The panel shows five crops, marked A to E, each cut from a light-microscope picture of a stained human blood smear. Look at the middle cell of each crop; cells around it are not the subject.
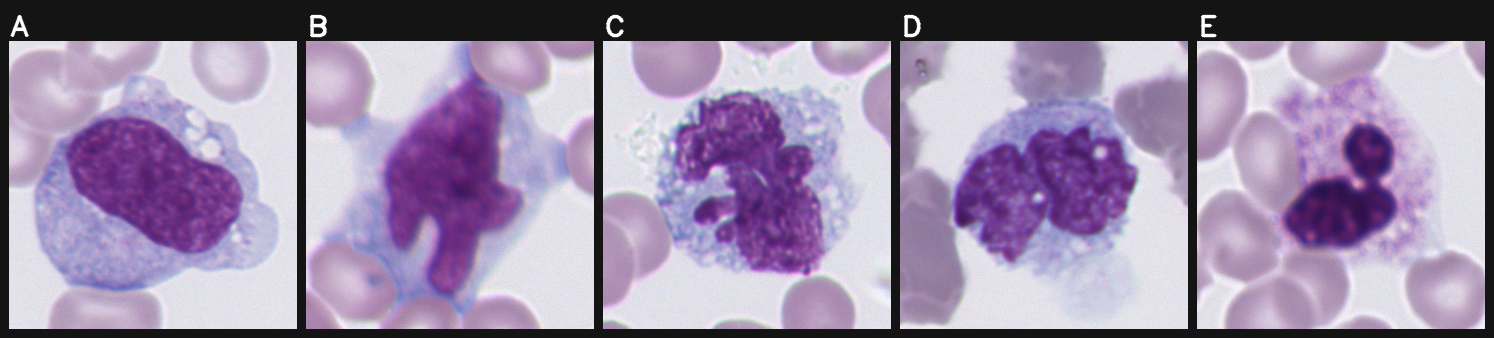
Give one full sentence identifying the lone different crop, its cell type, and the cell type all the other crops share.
In crop E the central cell is a segmented neutrophil, whereas the other crops all contain monocytes.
